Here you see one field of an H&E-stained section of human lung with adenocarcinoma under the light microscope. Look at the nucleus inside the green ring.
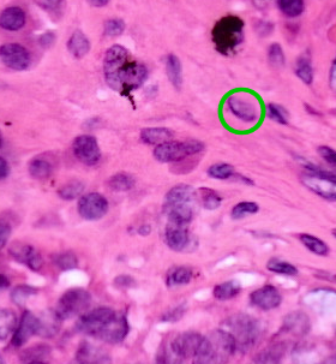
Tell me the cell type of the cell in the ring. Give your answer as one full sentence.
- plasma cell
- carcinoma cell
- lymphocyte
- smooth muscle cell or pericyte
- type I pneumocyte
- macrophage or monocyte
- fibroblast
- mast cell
Typologically, the cell in the ring is a fibroblast in this section.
